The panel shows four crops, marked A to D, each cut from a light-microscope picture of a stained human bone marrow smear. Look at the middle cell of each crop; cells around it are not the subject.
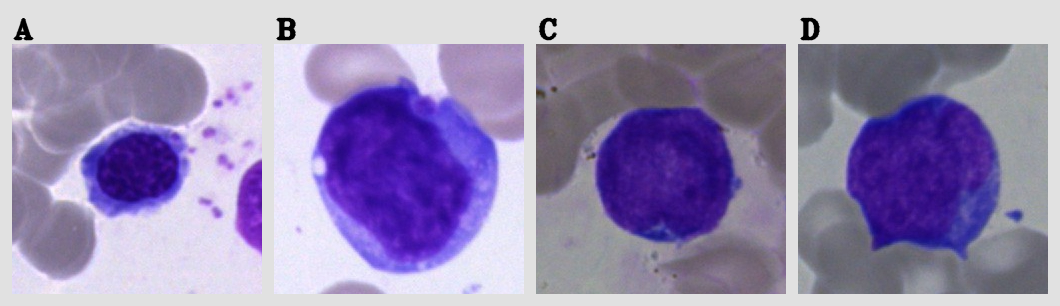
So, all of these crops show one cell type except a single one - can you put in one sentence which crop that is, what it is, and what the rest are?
The central cell of crop A is an erythroblast, while the other crops show blasts.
